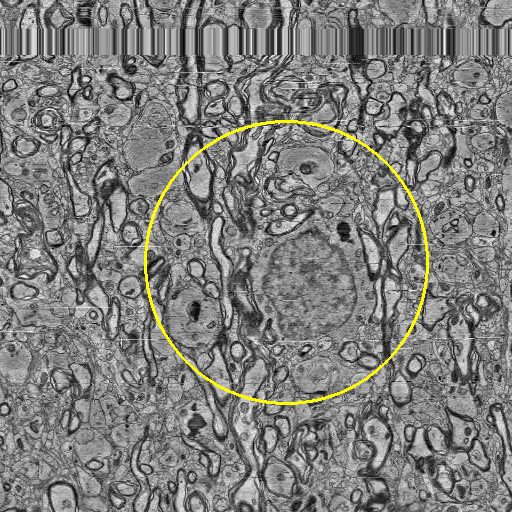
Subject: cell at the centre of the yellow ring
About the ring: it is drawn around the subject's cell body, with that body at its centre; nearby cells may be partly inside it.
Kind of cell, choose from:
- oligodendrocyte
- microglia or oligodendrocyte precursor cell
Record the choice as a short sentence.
The subject cell is an oligodendrocyte.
